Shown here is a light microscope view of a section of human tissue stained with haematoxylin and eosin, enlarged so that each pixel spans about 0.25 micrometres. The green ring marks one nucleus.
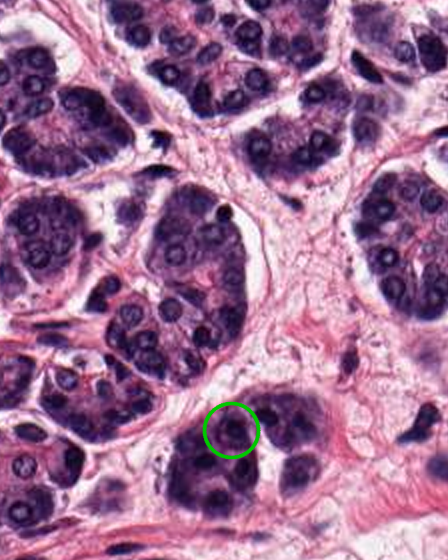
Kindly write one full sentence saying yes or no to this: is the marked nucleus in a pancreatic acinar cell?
Yes, the marked nucleus is located in a pancreatic acinar cell.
